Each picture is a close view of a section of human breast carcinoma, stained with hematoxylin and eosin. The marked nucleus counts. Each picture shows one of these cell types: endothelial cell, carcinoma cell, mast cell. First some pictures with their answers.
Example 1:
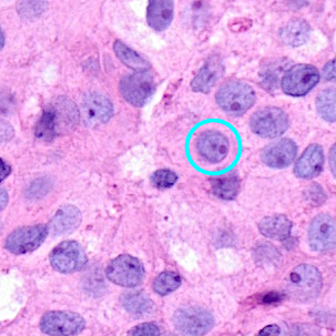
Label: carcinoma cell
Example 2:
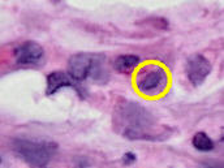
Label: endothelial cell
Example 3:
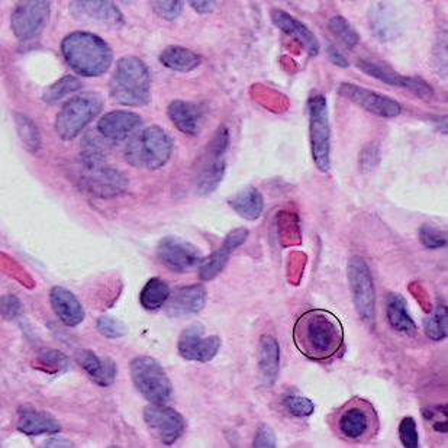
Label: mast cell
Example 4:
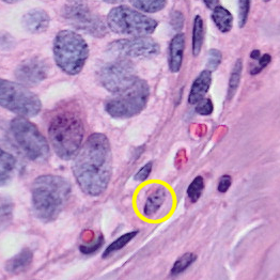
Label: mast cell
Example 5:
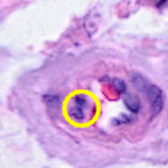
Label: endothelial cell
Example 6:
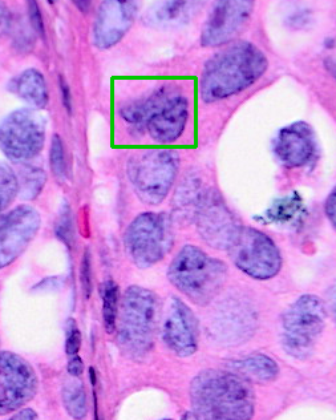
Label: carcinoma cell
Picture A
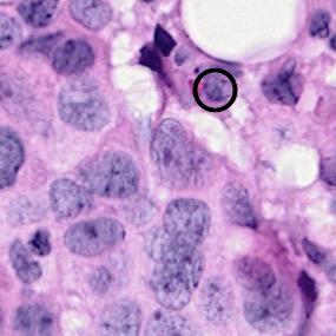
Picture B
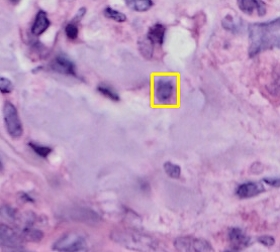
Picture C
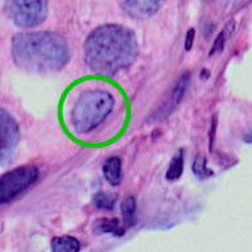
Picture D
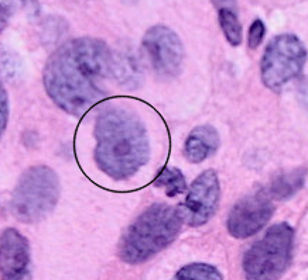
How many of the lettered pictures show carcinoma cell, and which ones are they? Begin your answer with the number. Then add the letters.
2: C, D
